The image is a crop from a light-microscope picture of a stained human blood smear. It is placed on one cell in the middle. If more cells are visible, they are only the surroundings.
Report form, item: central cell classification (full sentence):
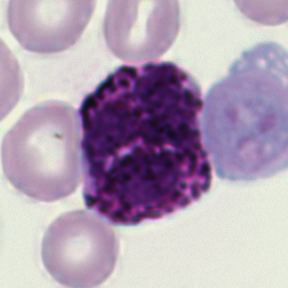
Present in the middle of the crop is a basophil.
